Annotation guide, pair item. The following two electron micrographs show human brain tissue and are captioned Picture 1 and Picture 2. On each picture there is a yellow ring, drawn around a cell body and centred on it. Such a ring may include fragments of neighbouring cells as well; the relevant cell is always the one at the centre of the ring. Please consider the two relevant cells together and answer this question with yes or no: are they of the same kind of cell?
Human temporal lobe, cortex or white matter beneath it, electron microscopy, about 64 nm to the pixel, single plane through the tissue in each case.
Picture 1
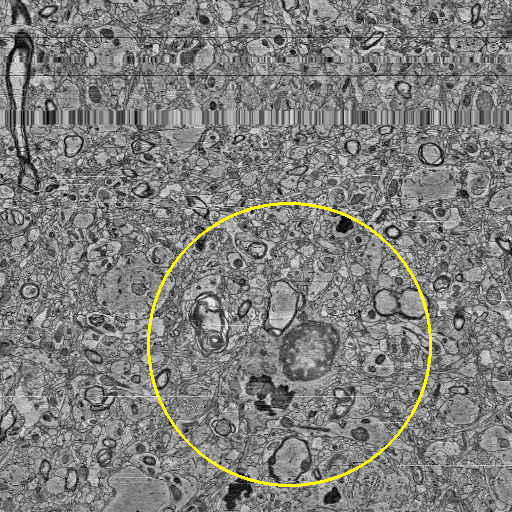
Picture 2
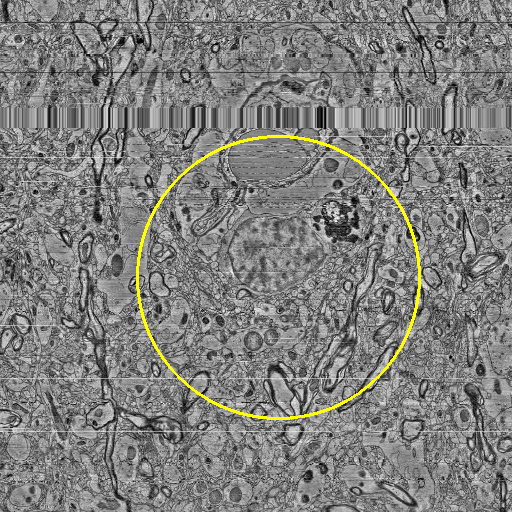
yes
